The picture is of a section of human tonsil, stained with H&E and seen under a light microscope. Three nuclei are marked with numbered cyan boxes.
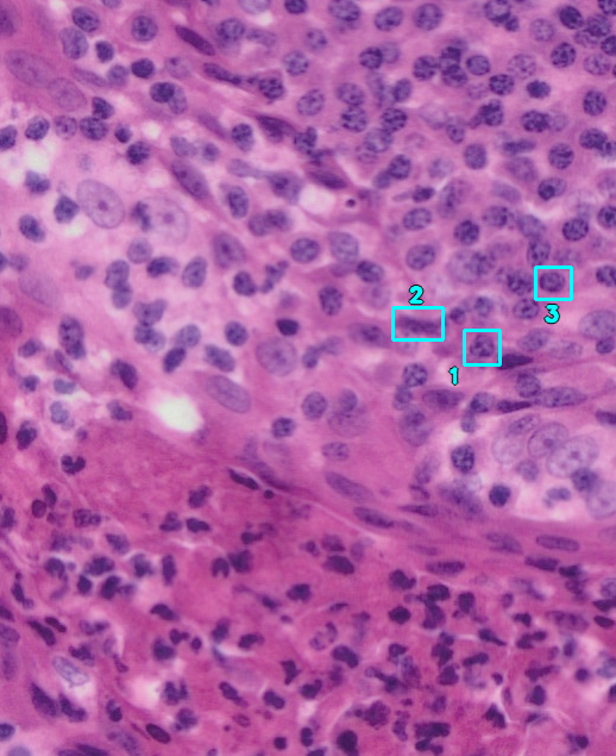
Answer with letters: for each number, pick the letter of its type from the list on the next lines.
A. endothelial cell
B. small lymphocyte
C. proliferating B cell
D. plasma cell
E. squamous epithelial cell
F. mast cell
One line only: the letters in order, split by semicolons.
D; E; D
